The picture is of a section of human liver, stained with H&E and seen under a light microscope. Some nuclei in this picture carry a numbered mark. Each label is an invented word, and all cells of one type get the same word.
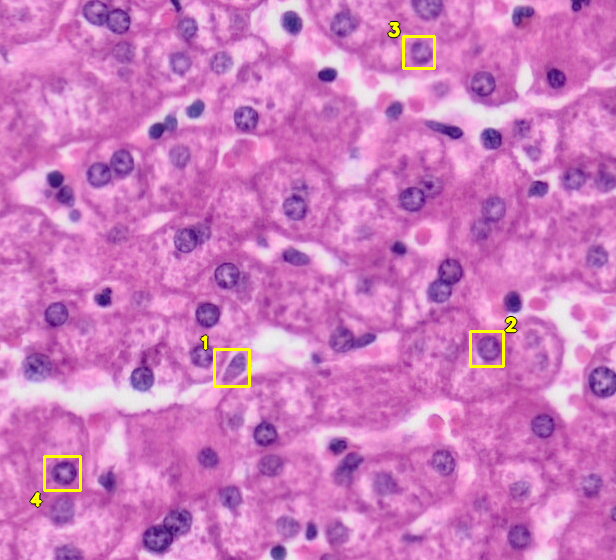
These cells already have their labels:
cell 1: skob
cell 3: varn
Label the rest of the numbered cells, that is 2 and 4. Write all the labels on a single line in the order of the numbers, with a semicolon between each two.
varn; varn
